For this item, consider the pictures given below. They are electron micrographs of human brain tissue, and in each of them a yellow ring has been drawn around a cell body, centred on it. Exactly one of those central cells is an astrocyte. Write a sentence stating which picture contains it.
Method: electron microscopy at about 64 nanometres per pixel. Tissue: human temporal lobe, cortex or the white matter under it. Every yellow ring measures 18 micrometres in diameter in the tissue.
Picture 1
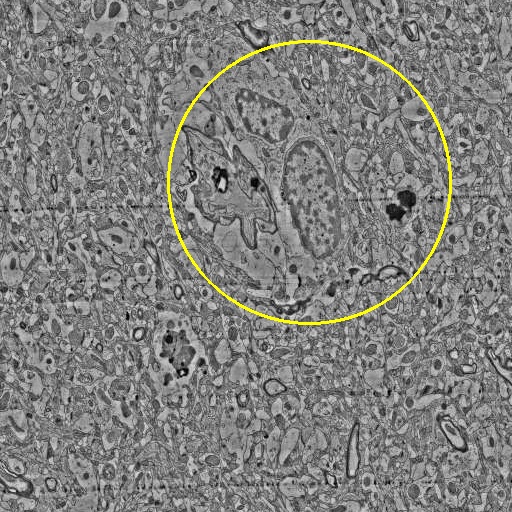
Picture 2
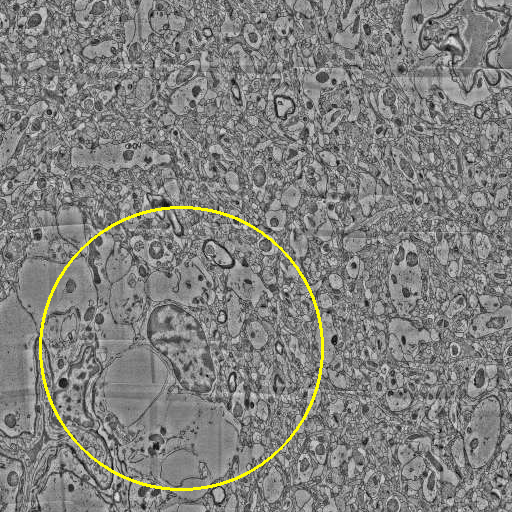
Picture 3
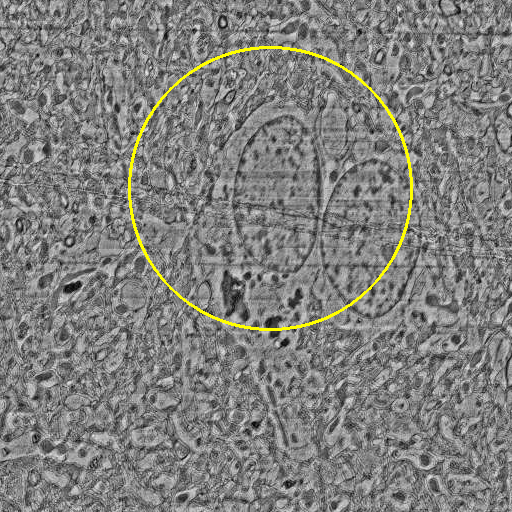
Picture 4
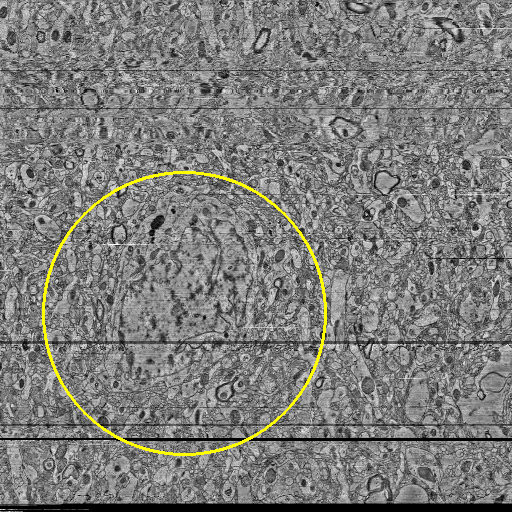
It is in Picture 3.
